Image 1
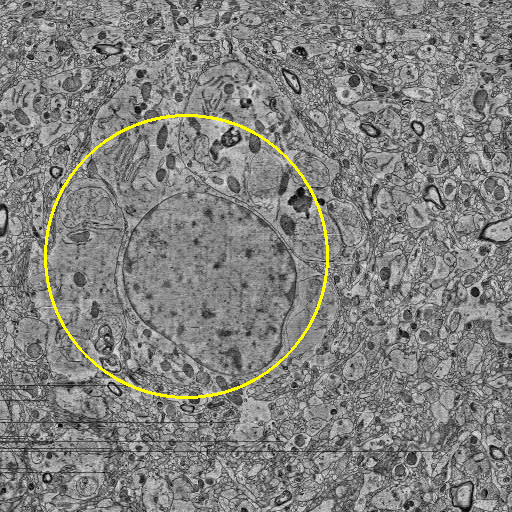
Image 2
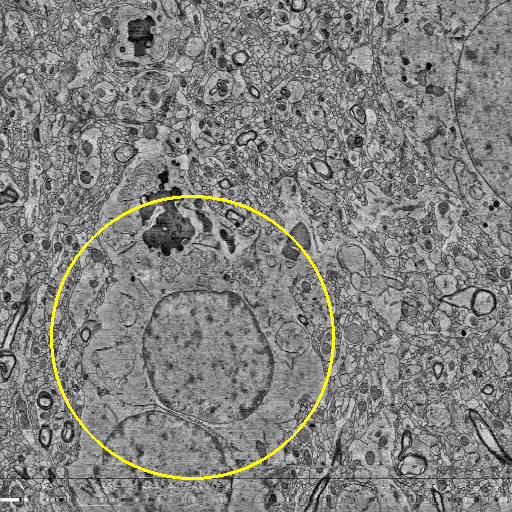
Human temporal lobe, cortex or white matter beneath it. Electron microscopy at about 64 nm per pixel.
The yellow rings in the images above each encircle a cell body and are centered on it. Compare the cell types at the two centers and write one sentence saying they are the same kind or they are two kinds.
Taken together, the two cells at the ring centers are the same kind.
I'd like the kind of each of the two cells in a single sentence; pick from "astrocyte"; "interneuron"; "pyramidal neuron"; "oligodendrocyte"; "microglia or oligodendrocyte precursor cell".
Each cell at the centre of a ring is an astrocyte.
